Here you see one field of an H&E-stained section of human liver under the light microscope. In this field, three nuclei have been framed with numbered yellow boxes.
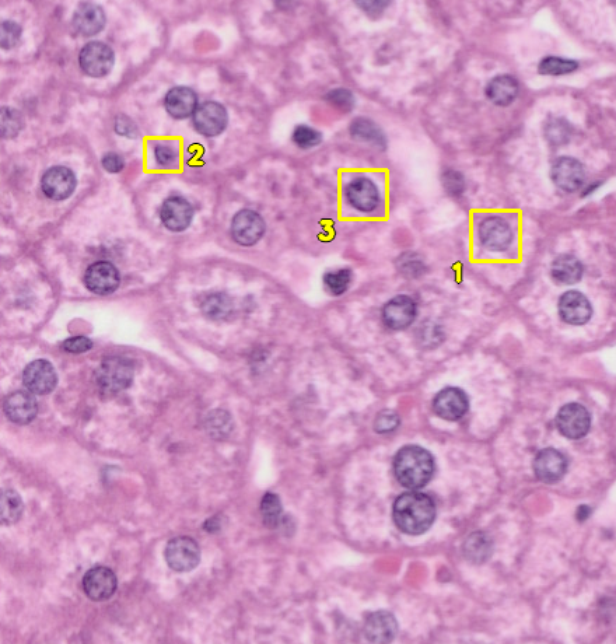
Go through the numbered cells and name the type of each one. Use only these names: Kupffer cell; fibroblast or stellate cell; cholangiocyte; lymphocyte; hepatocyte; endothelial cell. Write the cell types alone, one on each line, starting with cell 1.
hepatocyte
fibroblast or stellate cell
hepatocyte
